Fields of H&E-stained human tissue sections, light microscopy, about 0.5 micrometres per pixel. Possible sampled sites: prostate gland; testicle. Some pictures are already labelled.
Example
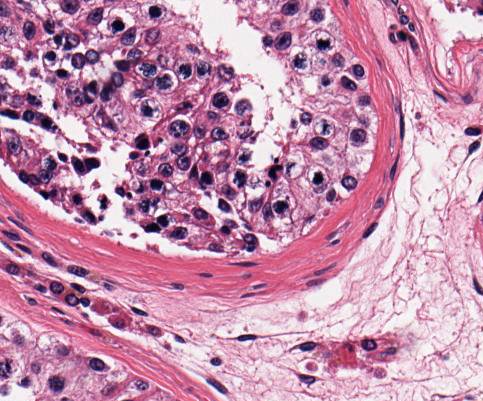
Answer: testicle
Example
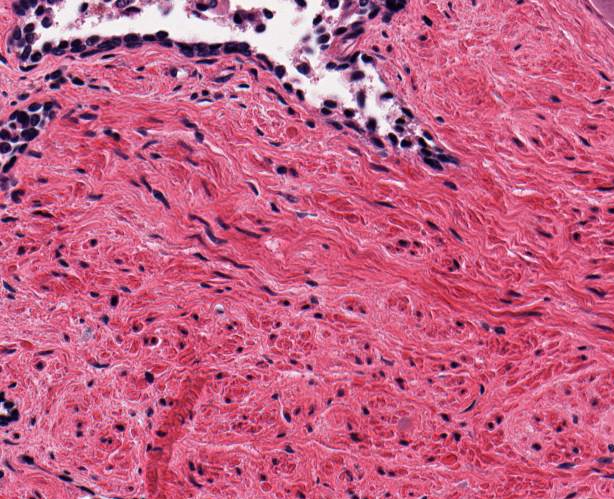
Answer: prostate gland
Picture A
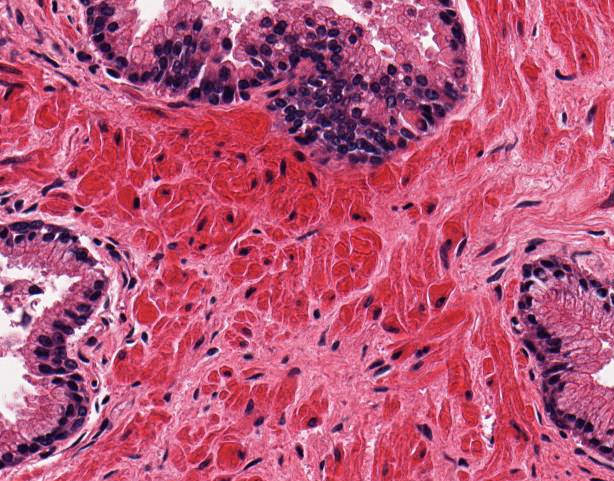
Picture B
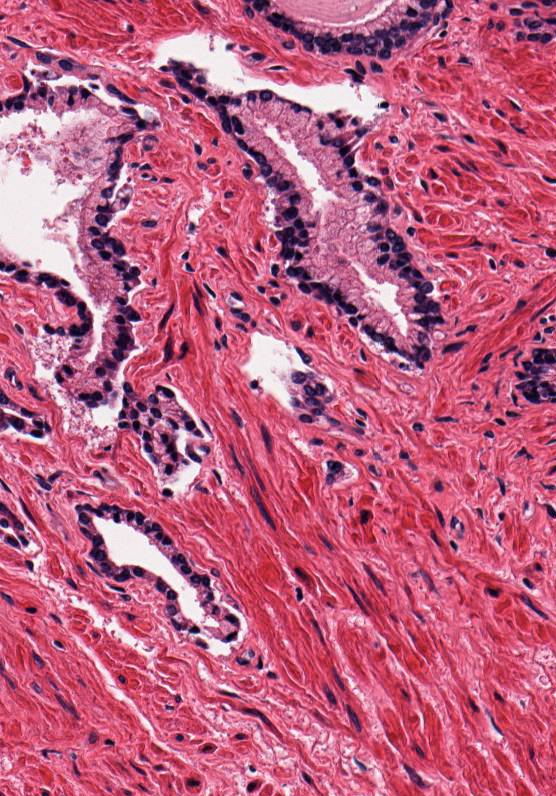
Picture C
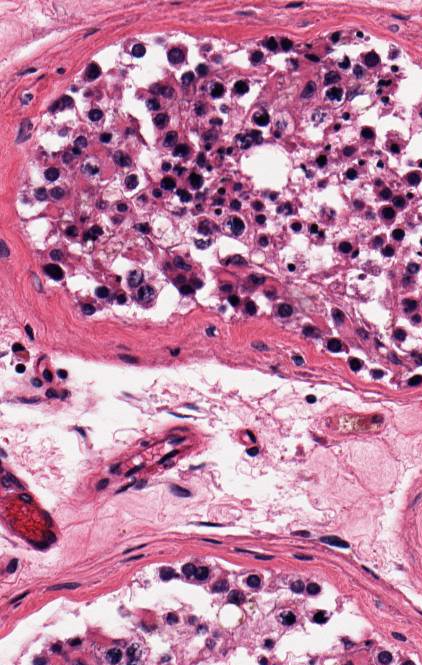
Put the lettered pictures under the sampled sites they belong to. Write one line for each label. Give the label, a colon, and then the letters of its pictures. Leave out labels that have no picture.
prostate gland: A, B
testicle: C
